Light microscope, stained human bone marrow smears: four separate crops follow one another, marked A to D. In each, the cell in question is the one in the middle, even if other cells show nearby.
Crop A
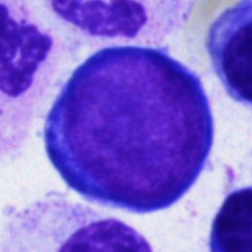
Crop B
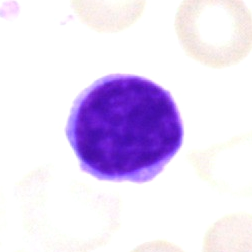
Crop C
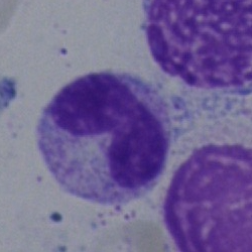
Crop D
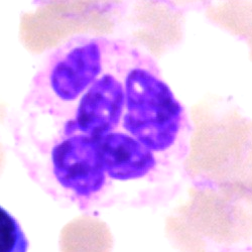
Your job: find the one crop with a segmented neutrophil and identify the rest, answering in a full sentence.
The crop marked D contains a segmented neutrophil, while crop A is a proerythroblast, crop B is a lymphocyte and crop C is a band neutrophil.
